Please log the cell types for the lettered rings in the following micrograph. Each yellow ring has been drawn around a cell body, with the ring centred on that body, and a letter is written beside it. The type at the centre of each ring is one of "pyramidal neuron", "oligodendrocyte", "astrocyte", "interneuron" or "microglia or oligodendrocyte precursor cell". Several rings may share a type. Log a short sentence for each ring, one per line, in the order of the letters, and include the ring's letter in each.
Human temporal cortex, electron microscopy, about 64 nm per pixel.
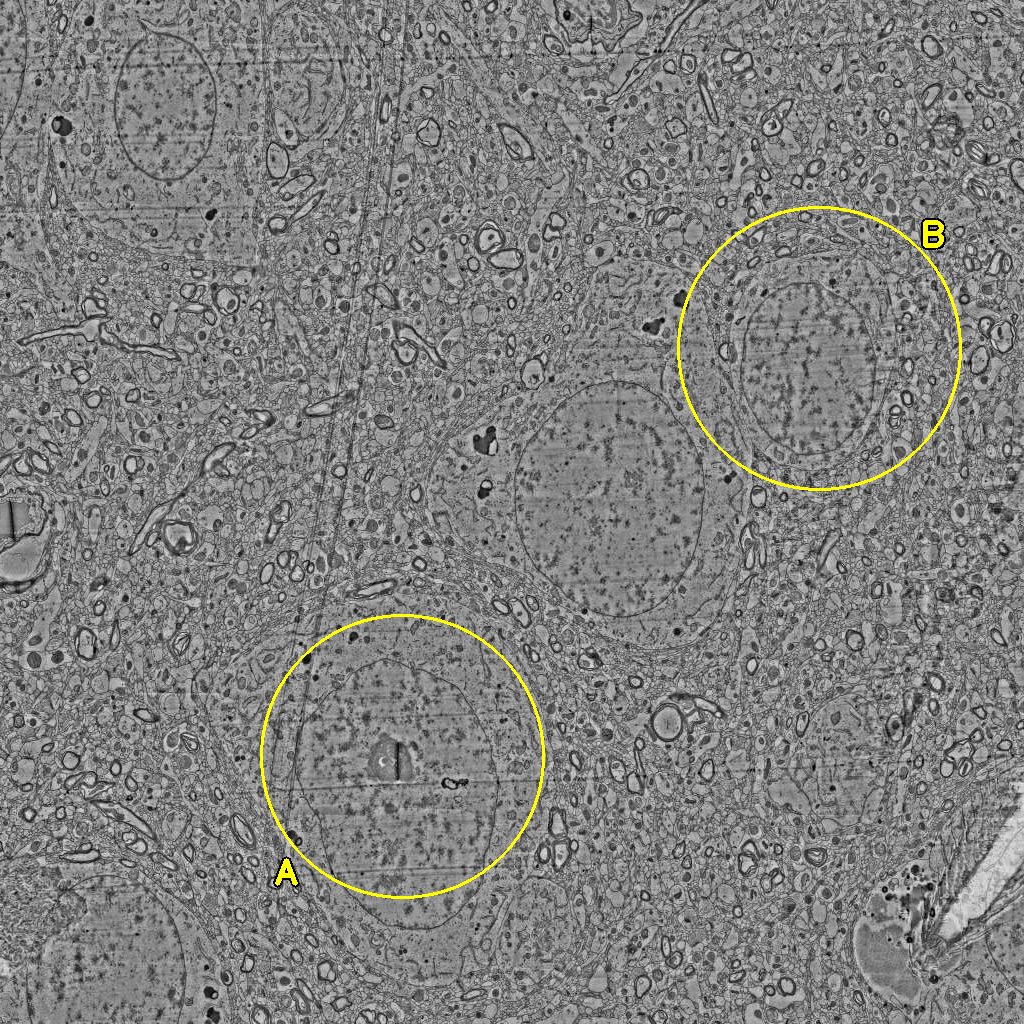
In ring A the central cell is a pyramidal neuron.
In ring B the central cell is a pyramidal neuron.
